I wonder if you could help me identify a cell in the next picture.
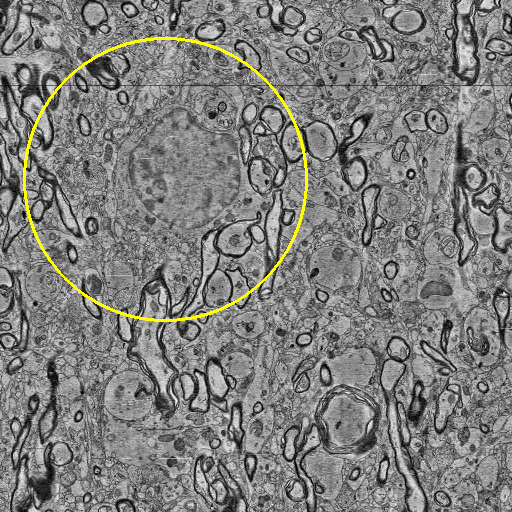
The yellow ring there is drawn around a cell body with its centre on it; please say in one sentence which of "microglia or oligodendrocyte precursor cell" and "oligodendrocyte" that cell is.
The yellow ring is centred on an oligodendrocyte.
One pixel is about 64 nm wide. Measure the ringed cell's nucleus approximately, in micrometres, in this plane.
About 8 micrometres across in this plane.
